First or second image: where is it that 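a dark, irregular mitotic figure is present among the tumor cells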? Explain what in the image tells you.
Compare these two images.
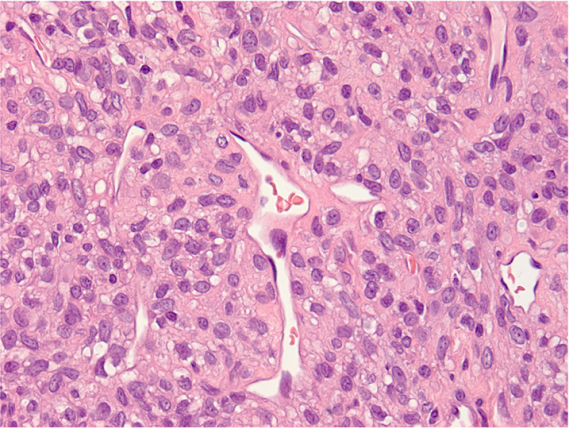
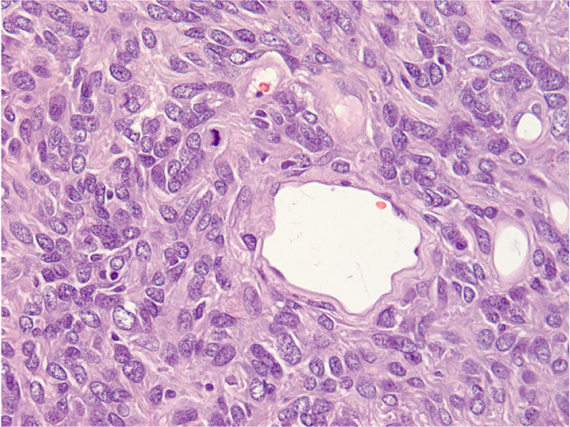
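Second image: a dense, dark, irregular chromatin clump near the upper centre. Second image: nuclei crowded and of varied size.
Hence: the second image.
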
